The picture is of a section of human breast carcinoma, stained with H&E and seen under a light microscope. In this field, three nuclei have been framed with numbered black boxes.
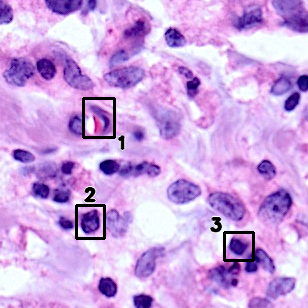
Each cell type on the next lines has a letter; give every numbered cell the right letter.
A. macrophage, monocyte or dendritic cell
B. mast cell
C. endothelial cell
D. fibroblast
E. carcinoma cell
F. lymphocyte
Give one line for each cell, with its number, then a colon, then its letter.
1: C
2: F
3: F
